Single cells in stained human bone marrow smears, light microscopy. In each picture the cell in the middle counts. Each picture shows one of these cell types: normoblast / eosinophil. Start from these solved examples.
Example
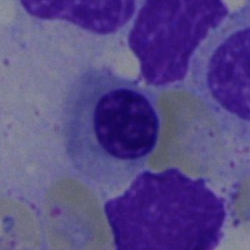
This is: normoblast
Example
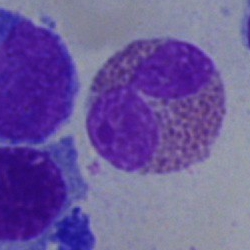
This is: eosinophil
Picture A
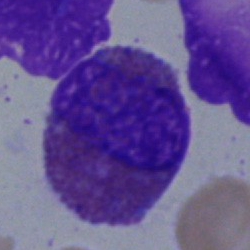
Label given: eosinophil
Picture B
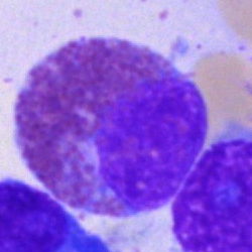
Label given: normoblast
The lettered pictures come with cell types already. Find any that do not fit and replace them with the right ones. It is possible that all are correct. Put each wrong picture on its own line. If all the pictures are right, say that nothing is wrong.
B: change normoblast to eosinophil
